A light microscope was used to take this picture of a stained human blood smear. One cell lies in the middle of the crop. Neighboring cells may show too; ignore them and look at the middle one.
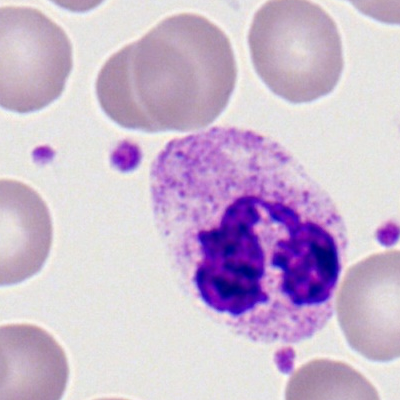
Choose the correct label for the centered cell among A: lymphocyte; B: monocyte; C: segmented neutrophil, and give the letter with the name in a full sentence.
Option C is the right choice, the central cell being a segmented neutrophil.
